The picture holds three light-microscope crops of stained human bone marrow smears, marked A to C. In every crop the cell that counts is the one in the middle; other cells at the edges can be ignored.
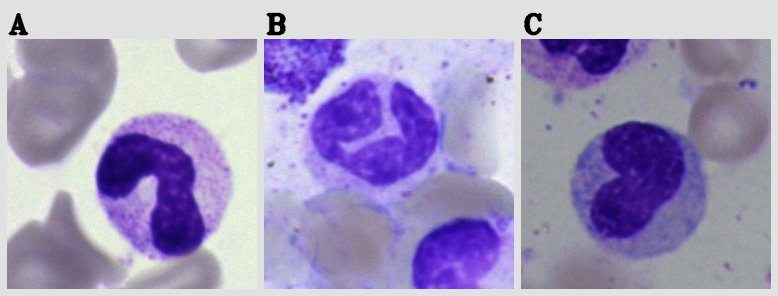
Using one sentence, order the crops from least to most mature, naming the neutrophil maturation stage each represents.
Placed in order of rising maturity, the crops stand as crop C (a metamyelocyte), crop A (a band neutrophil) and crop B (a segmented neutrophil).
